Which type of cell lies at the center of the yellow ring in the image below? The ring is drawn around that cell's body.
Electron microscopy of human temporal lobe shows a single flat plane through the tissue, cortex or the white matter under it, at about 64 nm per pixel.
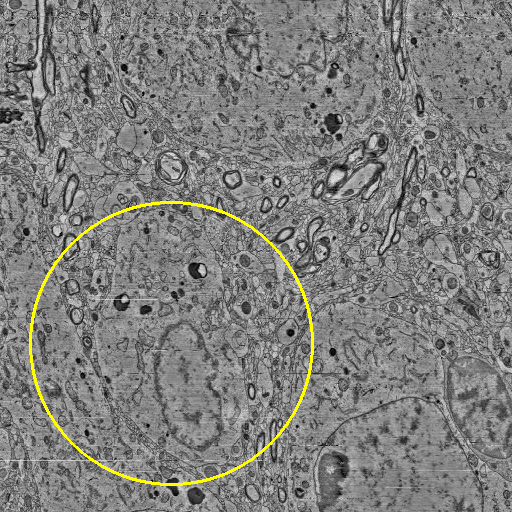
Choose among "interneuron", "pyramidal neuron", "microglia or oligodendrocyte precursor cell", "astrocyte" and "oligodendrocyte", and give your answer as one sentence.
The cell body at the center belongs to an interneuron.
